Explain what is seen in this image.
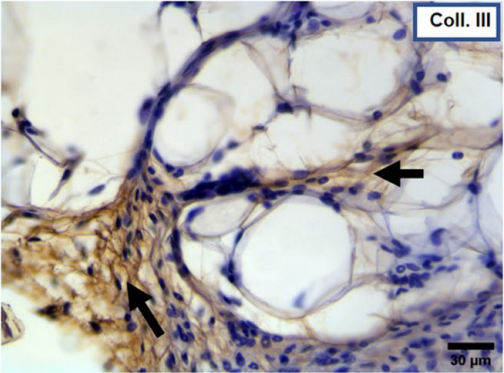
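This is adipose tissue made of large, round to polygonal fat cells whose contents appear empty and clear, each bounded by a thin rim. Small dark blue nuclei, many elongated, lie in the thin septa between the fat cells and crowd into a band of loose stromal tissue at the lower left. Fine brown fibrillar material runs along these septa and is densest in the stromal band, where it forms a meshwork around the spindle-shaped nuclei.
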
